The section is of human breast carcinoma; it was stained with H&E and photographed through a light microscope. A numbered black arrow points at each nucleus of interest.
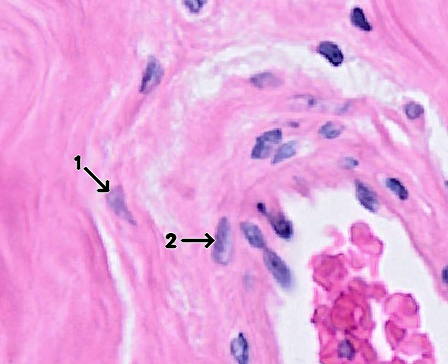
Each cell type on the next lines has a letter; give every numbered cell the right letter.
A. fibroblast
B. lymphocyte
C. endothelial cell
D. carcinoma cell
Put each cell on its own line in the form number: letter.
1: A
2: C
